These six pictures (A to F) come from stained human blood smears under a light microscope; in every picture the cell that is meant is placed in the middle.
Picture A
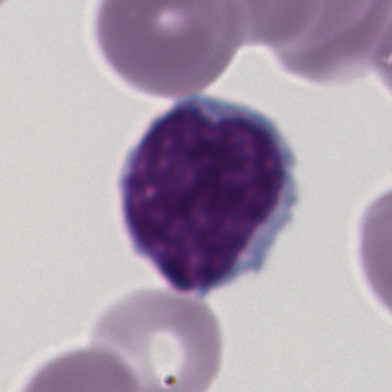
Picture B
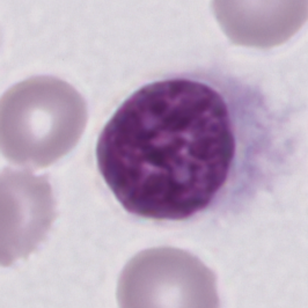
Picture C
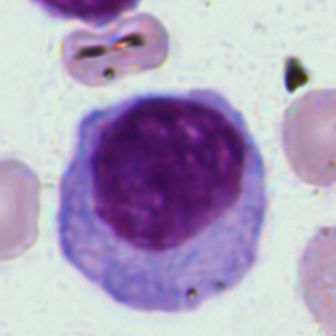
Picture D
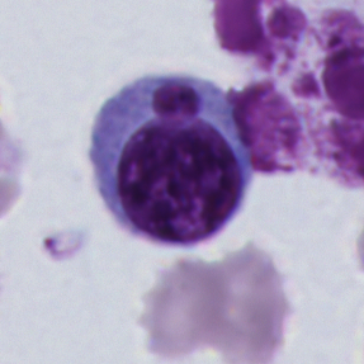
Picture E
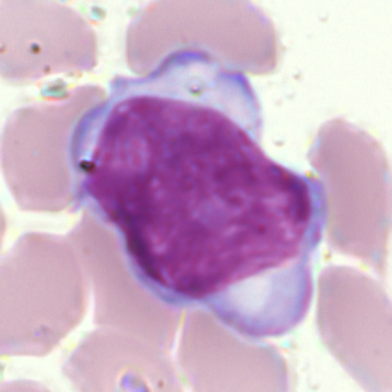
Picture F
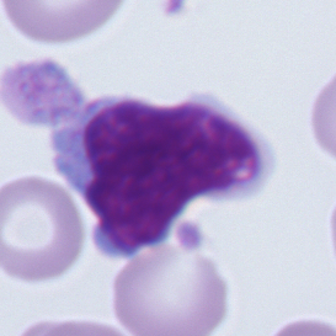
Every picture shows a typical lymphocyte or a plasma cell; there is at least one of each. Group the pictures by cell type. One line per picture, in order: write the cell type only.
typical lymphocyte
plasma cell
plasma cell
plasma cell
plasma cell
typical lymphocyte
